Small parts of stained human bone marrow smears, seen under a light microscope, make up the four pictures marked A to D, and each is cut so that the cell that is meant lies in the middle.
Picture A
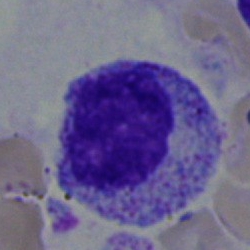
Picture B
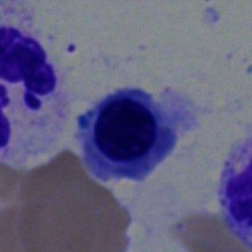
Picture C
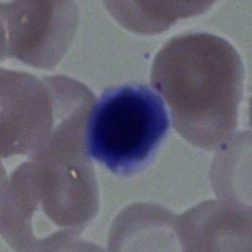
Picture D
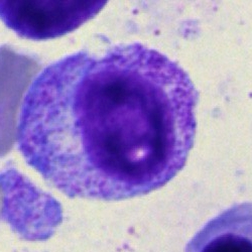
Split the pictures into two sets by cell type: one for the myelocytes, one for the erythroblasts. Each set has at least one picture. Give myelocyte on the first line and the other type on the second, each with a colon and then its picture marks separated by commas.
myelocyte: A, D
erythroblast: B, C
